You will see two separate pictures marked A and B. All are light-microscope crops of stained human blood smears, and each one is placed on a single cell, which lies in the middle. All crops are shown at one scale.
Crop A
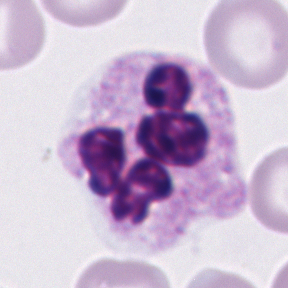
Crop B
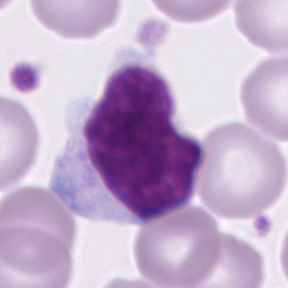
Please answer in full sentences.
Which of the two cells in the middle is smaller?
Smaller is the cell in crop B, and the other is about 1.5 times as large in area.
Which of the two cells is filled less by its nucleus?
In crop A the nucleus takes up the smaller part of its cell.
